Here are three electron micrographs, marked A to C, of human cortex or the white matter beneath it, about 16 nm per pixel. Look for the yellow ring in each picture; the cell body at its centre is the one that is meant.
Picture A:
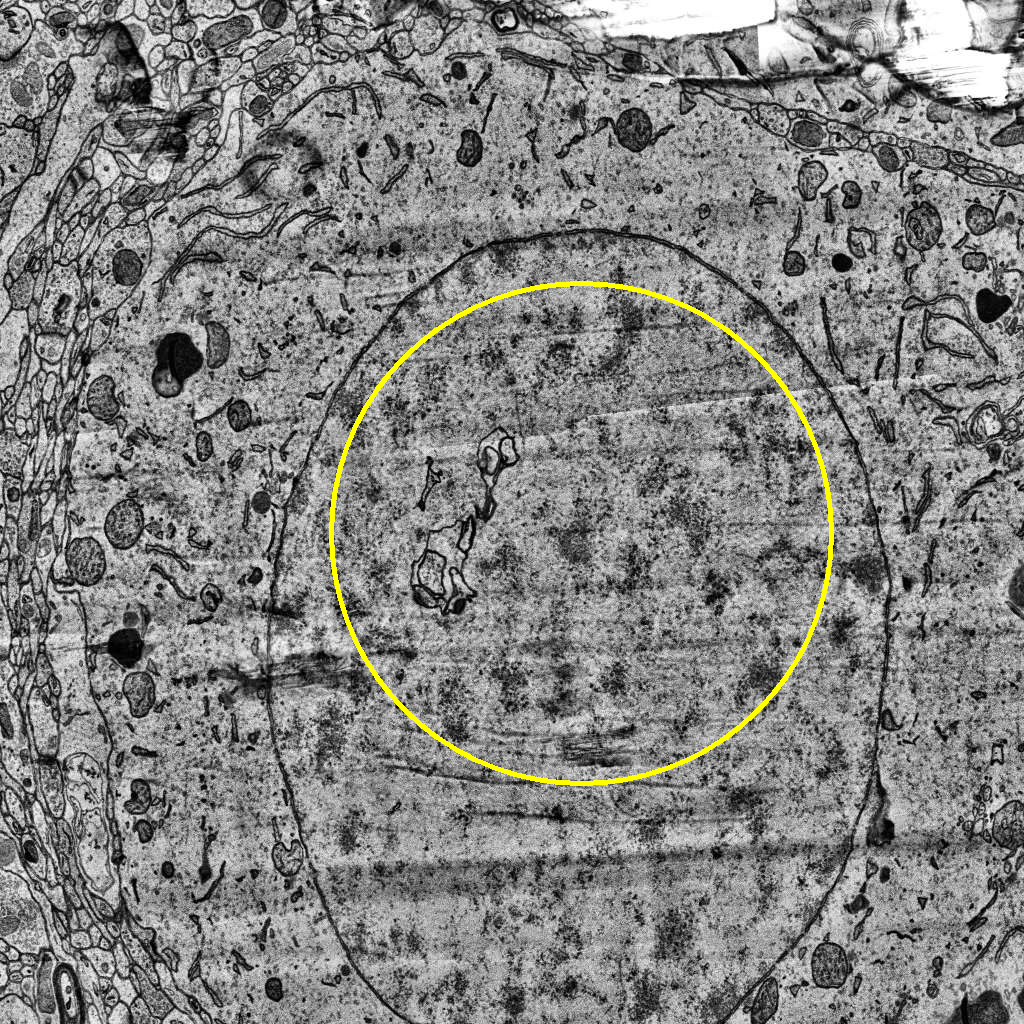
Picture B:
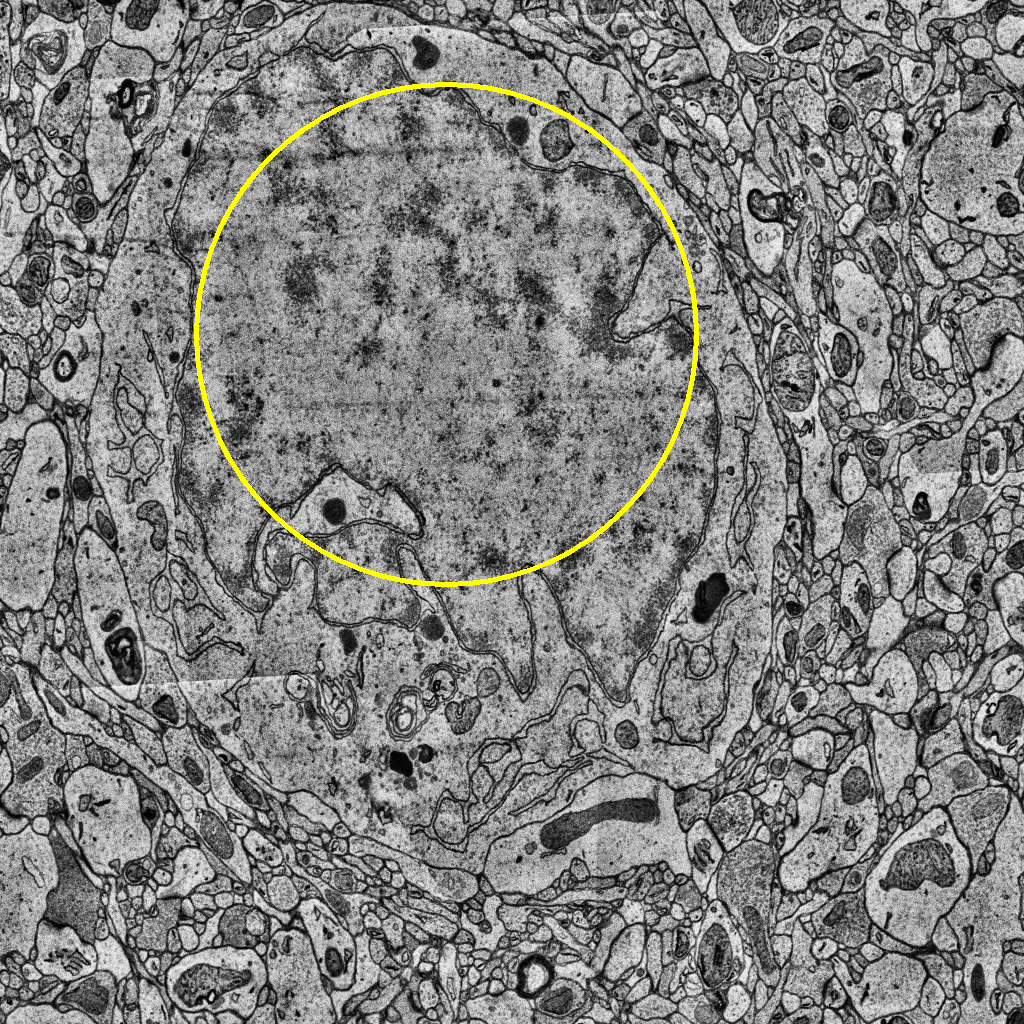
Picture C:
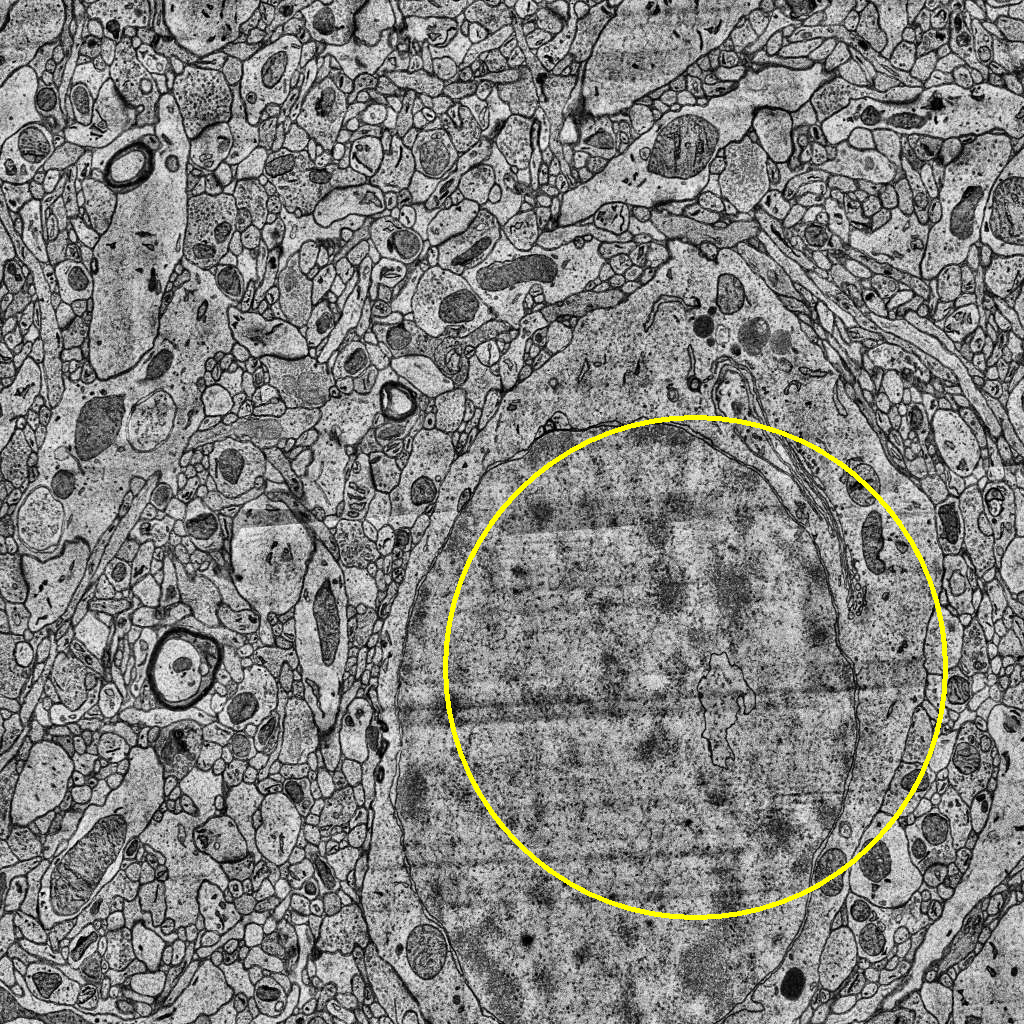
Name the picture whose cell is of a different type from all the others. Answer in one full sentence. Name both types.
Unlike the rest, which show interneurons, picture A shows a pyramidal neuron.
